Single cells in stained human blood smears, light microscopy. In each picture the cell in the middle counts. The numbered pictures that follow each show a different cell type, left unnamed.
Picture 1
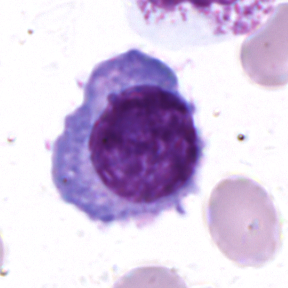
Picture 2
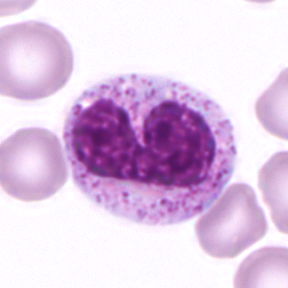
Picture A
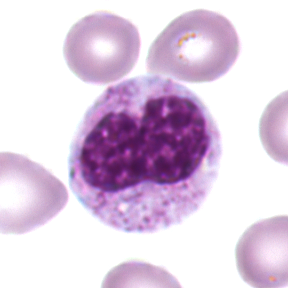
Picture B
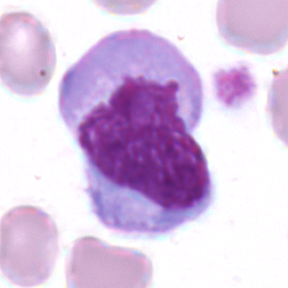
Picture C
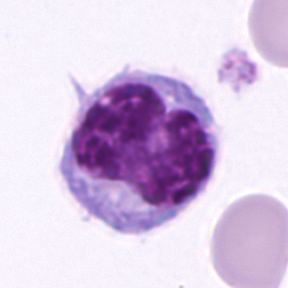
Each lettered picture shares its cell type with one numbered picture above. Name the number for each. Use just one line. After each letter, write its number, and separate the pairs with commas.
A 2, B 1, C 1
